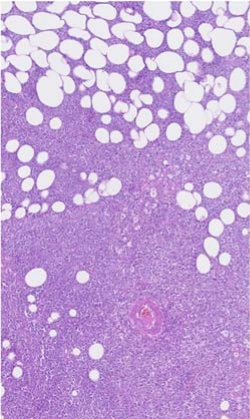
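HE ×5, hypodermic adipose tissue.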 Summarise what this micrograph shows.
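In the upper part, large empty round spaces of fat cells remain. Crowded small, darkly purple cells fill the narrow septa between them. Lower down, the cells form a solid sheet that has replaced most of the fat, leaving only a few isolated fat spaces. A small vessel with a pink wall lies within the sheet.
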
